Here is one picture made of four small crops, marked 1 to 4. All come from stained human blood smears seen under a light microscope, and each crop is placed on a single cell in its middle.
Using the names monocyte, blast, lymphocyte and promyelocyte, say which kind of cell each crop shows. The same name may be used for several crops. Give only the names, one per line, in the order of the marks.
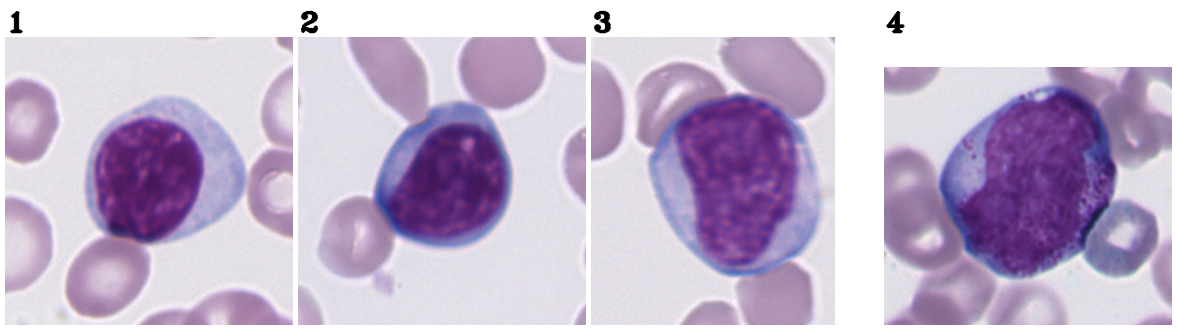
lymphocyte
lymphocyte
blast
promyelocyte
